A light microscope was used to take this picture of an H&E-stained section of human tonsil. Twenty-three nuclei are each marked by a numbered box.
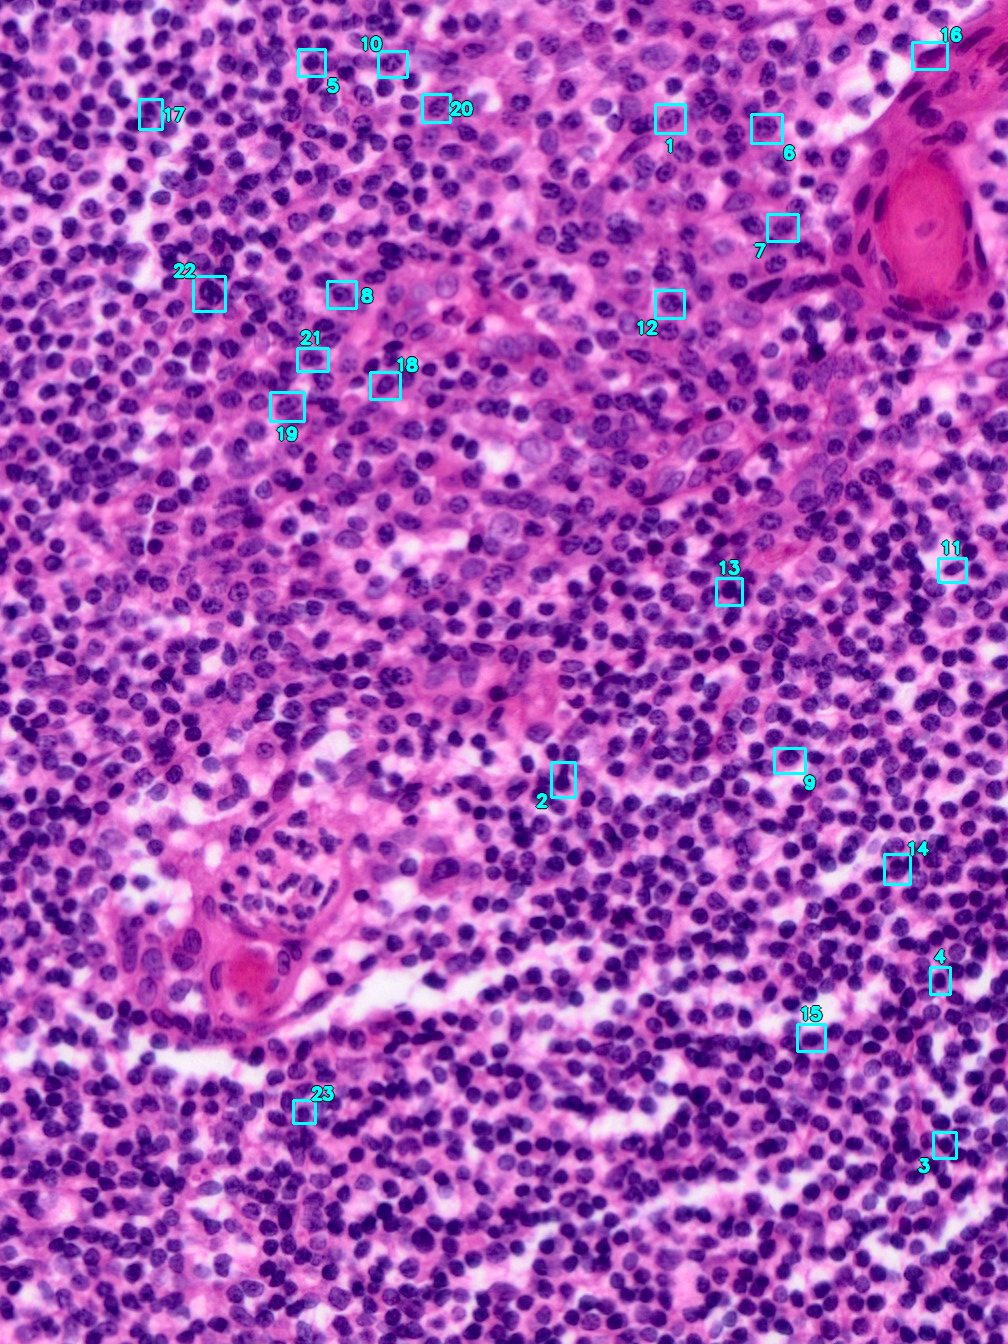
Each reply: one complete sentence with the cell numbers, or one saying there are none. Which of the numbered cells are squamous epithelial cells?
Cell 16 is a squamous epithelial cell, and that holds for no other numbered cell.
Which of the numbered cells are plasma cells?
The numbers 1, 6, 7, 8, 10, 12, 18, 19, 20, 21 and 22 refer to cells that are plasma cells.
